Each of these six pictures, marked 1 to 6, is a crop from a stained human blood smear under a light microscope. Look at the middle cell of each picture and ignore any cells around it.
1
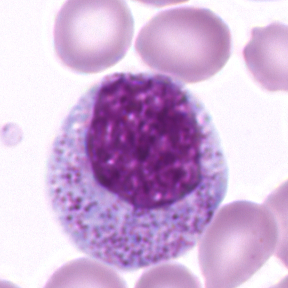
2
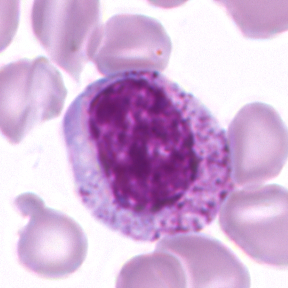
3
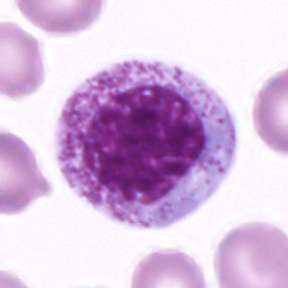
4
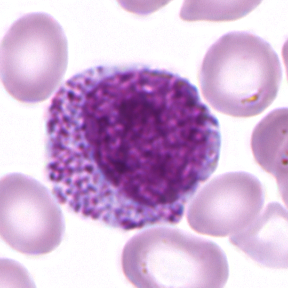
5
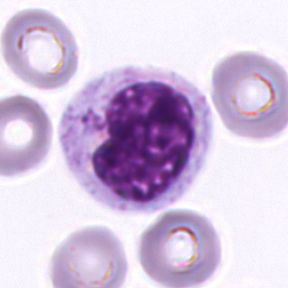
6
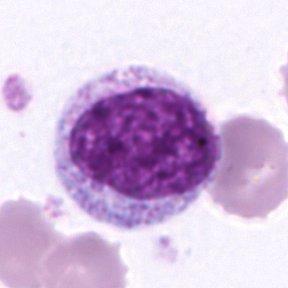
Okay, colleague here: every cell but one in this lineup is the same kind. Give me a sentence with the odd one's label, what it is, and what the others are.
Crop 5 differs from the others in showing a metamyelocyte; the rest all show myelocytes.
